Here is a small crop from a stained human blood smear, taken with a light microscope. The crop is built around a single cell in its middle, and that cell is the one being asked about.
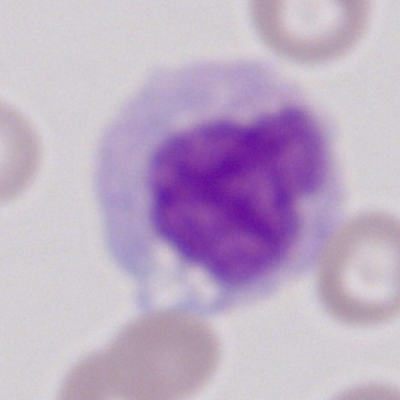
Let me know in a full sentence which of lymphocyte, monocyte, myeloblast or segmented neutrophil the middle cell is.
The cell at the centre of the field is a monocyte.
